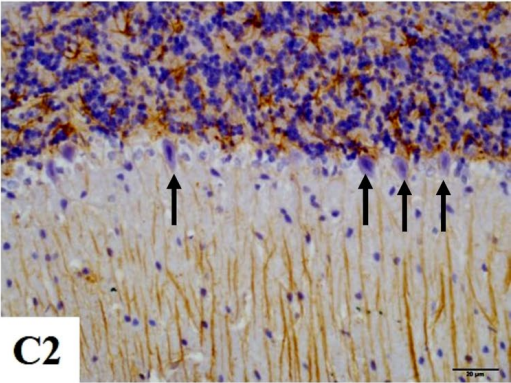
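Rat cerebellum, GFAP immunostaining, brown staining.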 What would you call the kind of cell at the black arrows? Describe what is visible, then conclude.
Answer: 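The cells sit between a dense layer of small dark nuclei and a pale layer with sparse nuclei.
Purkinje Neuron.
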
